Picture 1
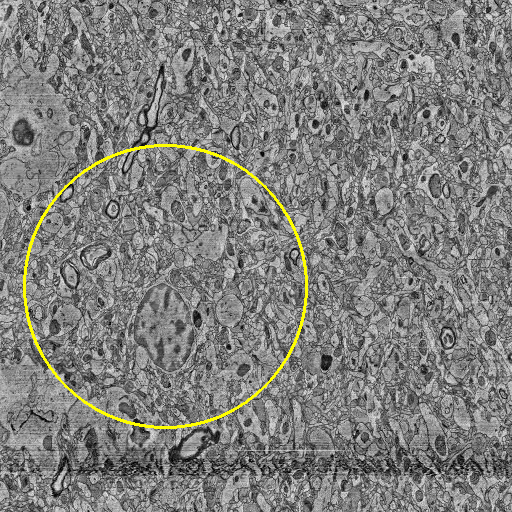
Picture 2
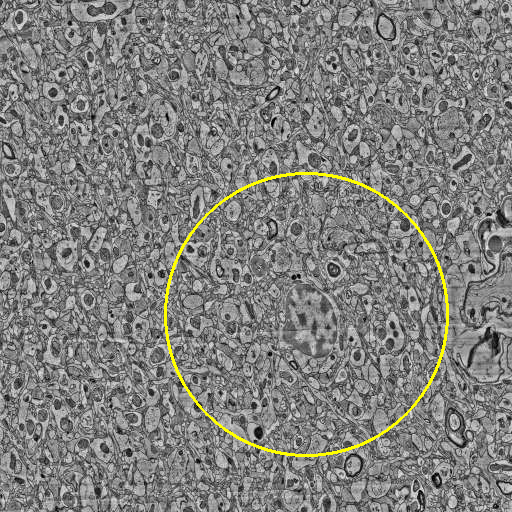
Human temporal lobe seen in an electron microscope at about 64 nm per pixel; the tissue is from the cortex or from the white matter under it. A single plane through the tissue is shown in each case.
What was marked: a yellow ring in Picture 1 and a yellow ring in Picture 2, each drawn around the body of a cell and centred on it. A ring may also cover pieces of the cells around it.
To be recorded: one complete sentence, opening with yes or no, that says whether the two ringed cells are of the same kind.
Yes, the two ringed cells are of the same kind.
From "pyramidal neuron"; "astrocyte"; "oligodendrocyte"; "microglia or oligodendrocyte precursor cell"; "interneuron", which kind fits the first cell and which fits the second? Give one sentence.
Both pictures show a microglial cell or oligodendrocyte precursor cell at the centre of the ring.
